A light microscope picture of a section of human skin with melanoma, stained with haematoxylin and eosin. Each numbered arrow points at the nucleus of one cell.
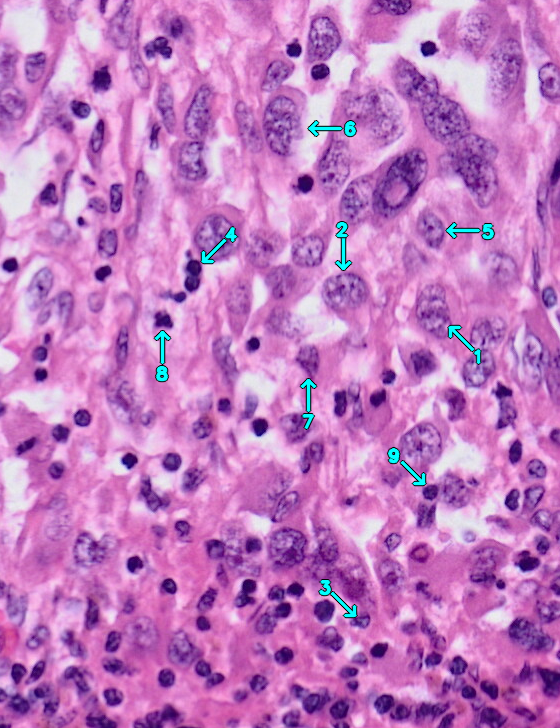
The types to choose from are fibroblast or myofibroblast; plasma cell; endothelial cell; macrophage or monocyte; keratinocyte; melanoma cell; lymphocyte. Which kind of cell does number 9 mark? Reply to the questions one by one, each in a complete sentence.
Identified as a lymphocyte is the cell bearing the number 9.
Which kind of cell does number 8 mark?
Identified by the number 8, the cell is a lymphocyte.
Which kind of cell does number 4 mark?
Heads up, the cell numbered 4 is a lymphocyte.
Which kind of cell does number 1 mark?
The nucleus with number 1 is that of a melanoma cell.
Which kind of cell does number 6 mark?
Number 6 is placed on a melanoma cell here.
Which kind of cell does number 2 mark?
Belonging to a melanoma cell is the nucleus that carries the number 2.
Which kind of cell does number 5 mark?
The cell marked with number 5 is a melanoma cell.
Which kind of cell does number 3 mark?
The correct answer for cell 3 is a lymphocyte.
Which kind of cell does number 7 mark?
The numbered cell 7 in this field is a melanoma cell.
